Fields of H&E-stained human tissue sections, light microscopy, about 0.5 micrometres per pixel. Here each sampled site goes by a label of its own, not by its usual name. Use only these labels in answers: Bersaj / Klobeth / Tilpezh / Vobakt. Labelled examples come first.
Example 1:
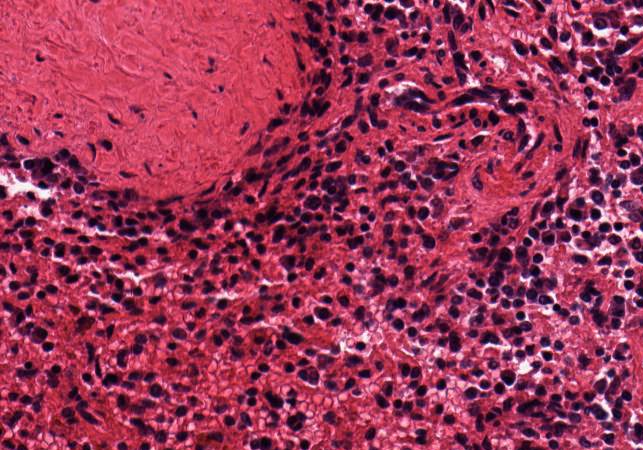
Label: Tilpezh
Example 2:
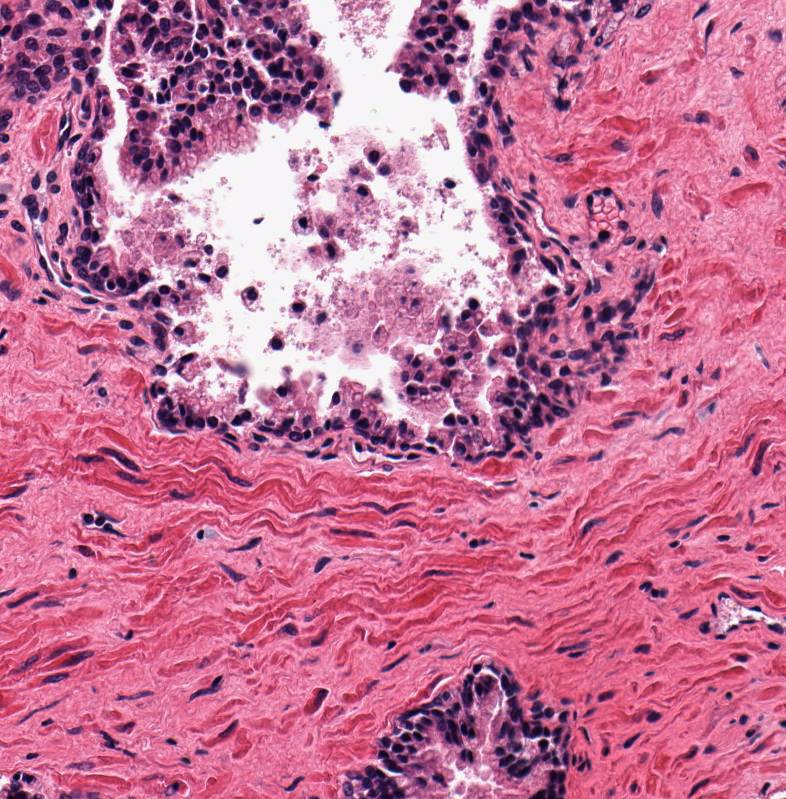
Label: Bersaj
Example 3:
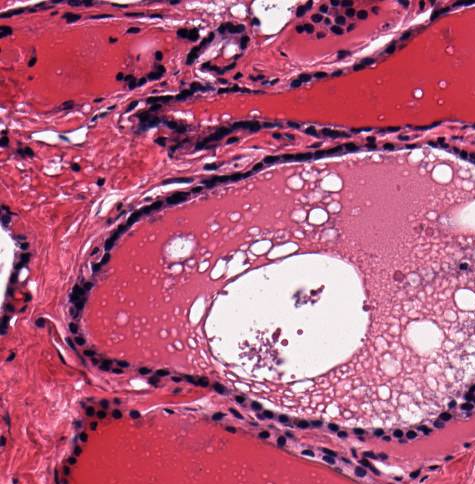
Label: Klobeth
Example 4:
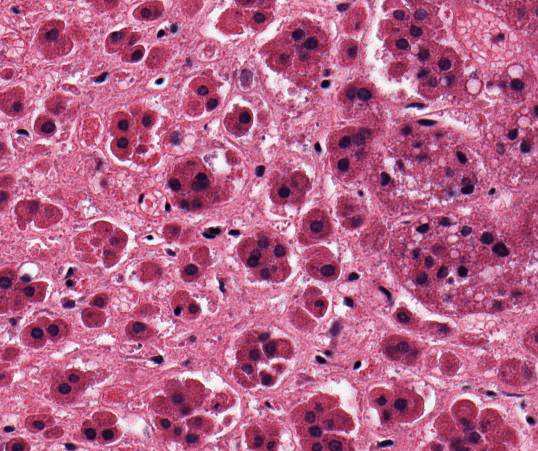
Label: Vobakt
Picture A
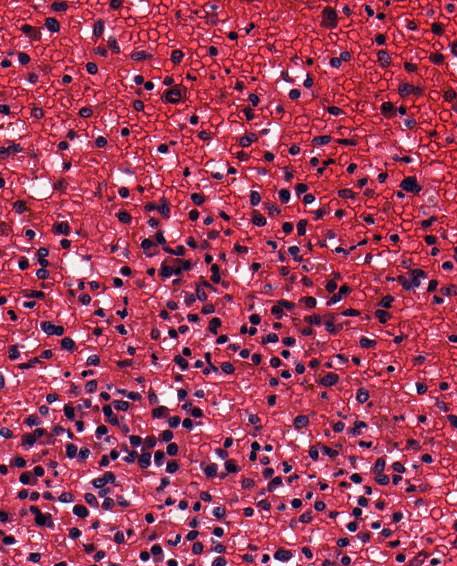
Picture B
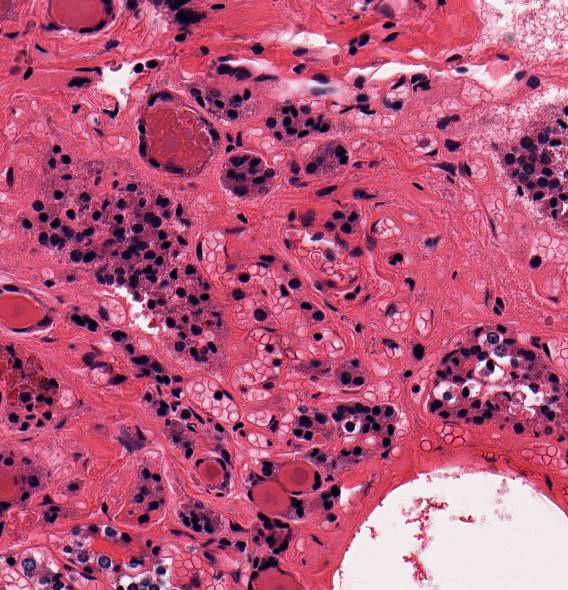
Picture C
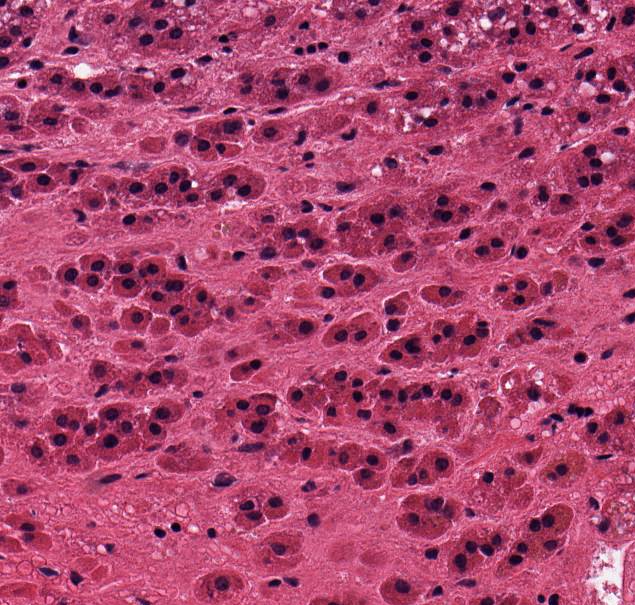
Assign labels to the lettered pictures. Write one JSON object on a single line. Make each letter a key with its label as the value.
{"A": "Tilpezh", "B": "Klobeth", "C": "Vobakt"}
